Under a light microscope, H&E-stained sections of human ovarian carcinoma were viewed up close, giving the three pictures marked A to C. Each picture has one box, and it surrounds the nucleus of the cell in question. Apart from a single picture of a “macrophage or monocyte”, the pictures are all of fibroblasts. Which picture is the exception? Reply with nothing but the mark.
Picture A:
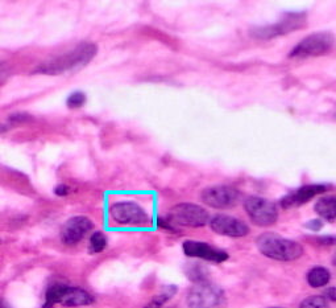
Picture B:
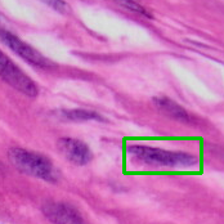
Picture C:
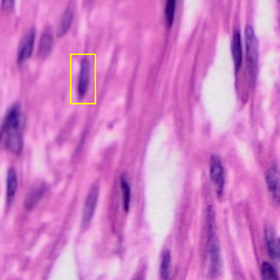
A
